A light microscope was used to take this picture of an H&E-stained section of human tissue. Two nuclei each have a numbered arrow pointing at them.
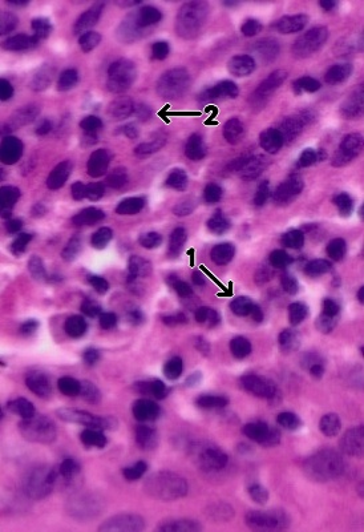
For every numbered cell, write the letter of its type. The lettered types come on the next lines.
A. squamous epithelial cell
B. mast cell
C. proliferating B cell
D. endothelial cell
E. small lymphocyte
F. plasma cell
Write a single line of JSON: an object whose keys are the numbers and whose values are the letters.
{"1": "F", "2": "A"}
